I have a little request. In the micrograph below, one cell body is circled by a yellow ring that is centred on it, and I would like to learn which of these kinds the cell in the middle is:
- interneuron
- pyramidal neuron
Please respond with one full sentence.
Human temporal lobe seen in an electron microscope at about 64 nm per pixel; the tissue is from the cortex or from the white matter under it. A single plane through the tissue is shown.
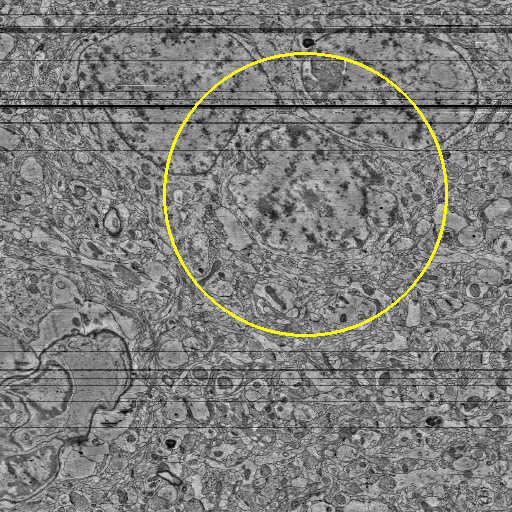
The cell sitting in the middle of the yellow ring in the micrograph is an interneuron.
